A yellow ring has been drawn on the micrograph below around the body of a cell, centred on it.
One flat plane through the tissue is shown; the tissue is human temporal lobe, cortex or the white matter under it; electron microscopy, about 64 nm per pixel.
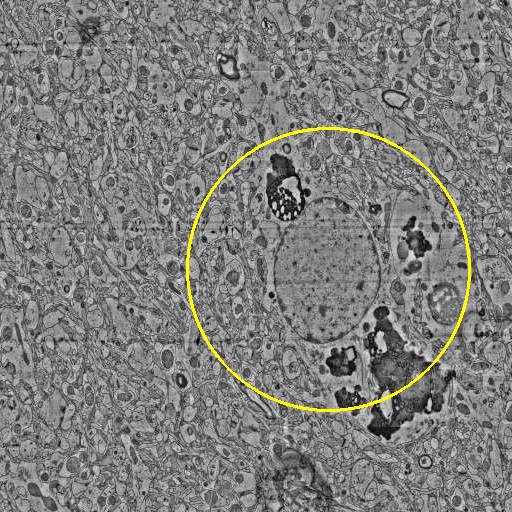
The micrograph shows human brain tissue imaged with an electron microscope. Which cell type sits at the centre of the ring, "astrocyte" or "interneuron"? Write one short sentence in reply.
The cell sitting at the centre of the ring is an astrocyte.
